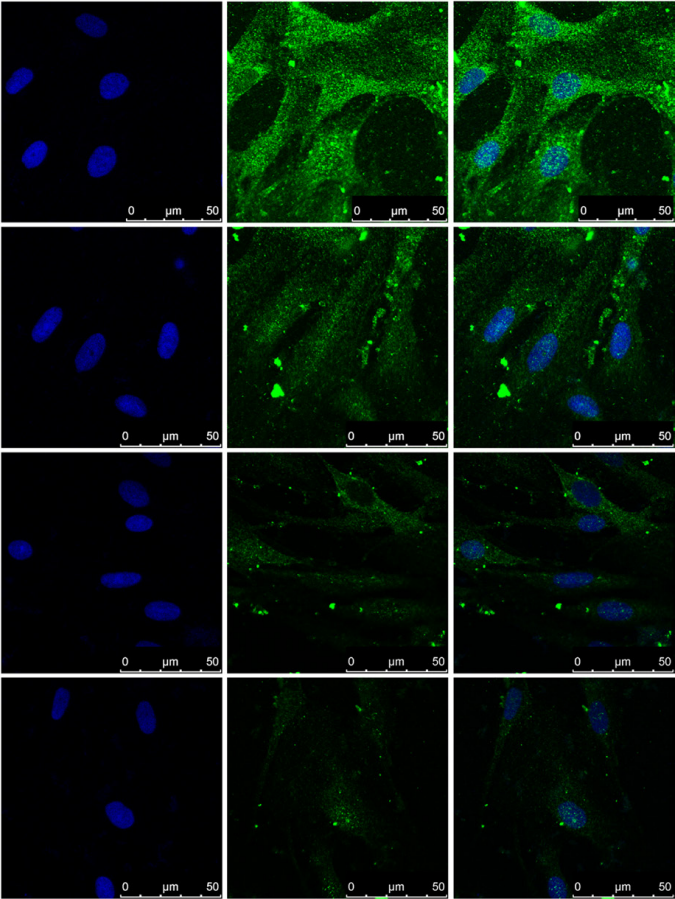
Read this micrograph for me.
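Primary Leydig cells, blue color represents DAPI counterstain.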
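These are flattened cultured cells, each with a single oval, evenly blue-stained nucleus. The nuclei are widely spaced, and there is no tissue architecture. Green fluorescence fills the cytoplasm around the nuclei as a fine granular pattern and outlines broad, spreading cell bodies with long extensions. Scattered bright green dots and clumps lie in the cytoplasm and between the cells. Down the rows the green cytoplasmic signal becomes much fainter and sparser. In the lowest rows mainly the nuclei and faint, dotted cell outlines remain visible.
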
